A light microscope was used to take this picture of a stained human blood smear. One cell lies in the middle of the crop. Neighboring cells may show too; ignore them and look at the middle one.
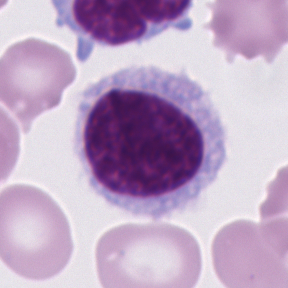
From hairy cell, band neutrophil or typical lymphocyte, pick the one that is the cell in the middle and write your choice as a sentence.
Among the cells in view, the one in the middle is a hairy cell.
